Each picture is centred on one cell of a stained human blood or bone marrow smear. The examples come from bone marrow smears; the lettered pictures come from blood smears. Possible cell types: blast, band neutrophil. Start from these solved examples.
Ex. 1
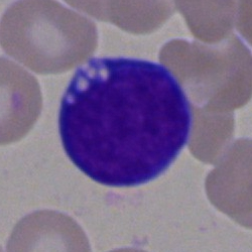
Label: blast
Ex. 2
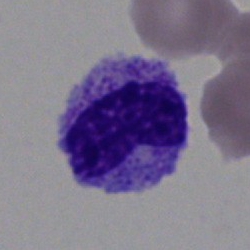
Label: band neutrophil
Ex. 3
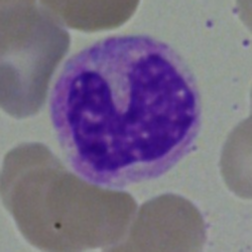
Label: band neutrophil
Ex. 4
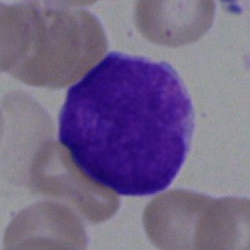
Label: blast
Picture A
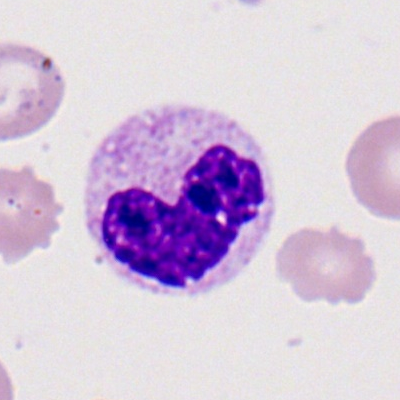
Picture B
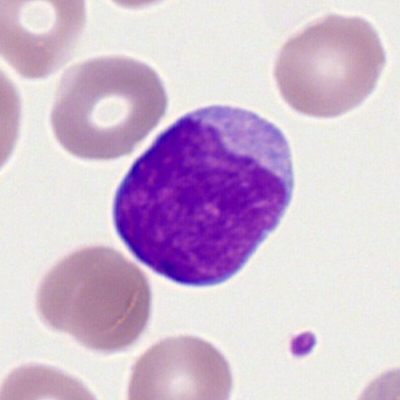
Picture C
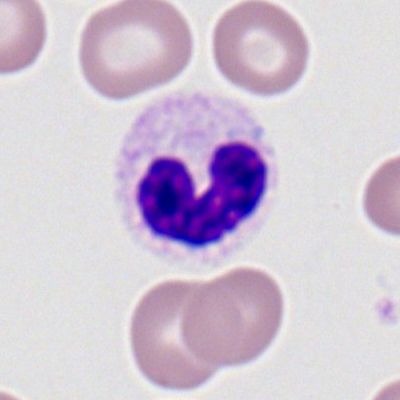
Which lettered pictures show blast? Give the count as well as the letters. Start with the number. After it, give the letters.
1: B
